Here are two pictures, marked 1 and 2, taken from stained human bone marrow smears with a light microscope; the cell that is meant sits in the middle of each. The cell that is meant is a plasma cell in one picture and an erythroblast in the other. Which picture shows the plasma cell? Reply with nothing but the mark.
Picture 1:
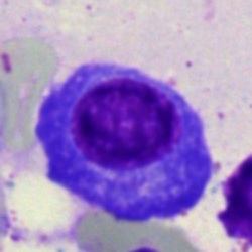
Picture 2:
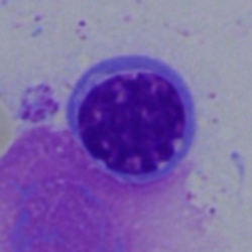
1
